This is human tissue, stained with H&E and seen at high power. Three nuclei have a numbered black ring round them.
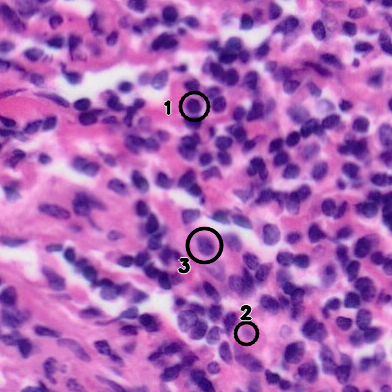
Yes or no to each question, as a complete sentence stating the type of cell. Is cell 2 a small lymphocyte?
No, cell 2 is correctly identified as an endothelial cell and not as a small lymphocyte.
